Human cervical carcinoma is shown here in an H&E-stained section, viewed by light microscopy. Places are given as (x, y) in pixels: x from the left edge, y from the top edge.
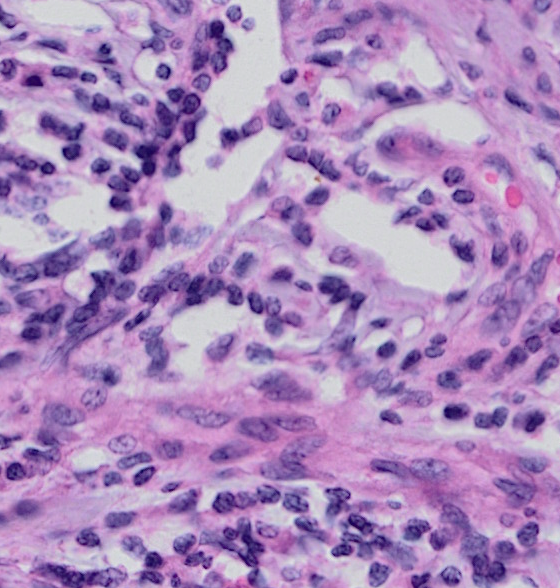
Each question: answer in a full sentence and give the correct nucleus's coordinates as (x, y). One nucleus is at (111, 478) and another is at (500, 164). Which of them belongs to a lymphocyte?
Assigned to a lymphocyte is the nucleus located at (111, 478).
